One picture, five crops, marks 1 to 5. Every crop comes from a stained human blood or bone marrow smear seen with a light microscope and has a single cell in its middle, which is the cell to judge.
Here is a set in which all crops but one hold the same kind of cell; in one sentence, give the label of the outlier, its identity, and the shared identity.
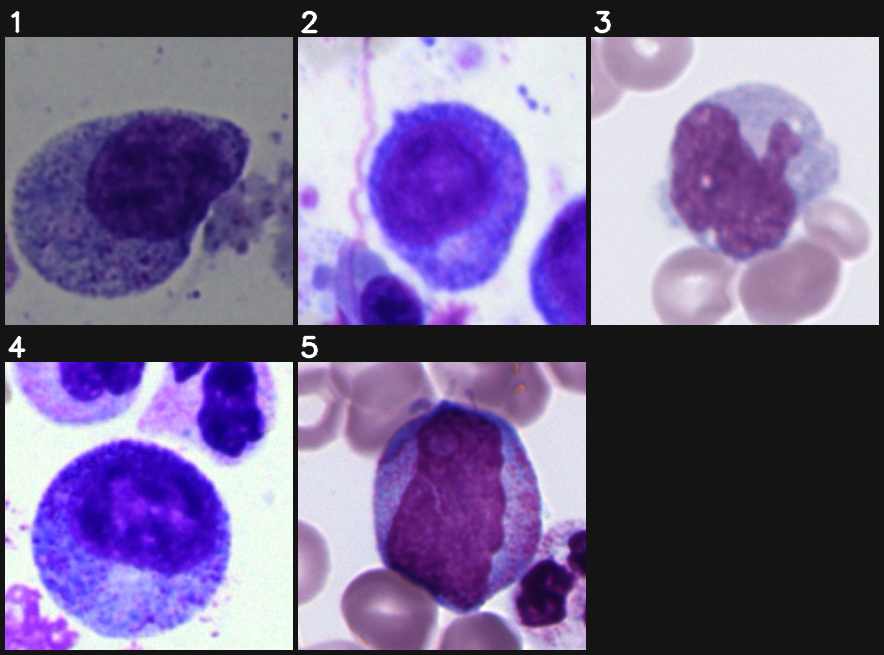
Crop 3 is the sole crop with a monocyte; the others all have promyelocytes.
